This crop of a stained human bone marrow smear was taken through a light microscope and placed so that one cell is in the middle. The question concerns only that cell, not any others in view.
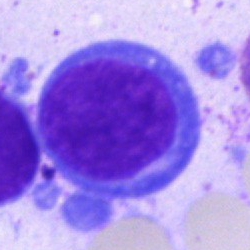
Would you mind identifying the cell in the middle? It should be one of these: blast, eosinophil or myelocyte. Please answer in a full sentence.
The central cell, amid any neighbouring cells, is a blast.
